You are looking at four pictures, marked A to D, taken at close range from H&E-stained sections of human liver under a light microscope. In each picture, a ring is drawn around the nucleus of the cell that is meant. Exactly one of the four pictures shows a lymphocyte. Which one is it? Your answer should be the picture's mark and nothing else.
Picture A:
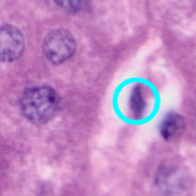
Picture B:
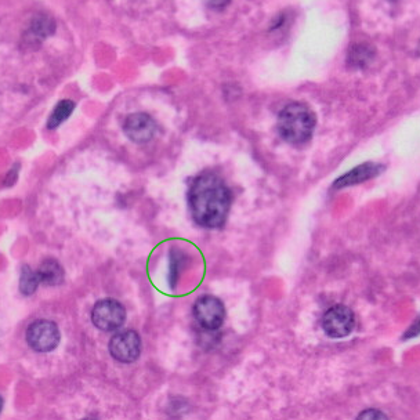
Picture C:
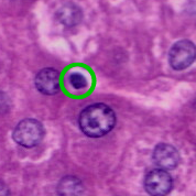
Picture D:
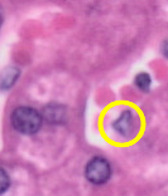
C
